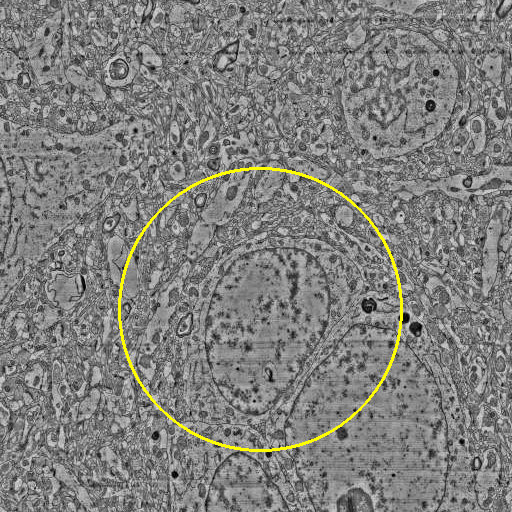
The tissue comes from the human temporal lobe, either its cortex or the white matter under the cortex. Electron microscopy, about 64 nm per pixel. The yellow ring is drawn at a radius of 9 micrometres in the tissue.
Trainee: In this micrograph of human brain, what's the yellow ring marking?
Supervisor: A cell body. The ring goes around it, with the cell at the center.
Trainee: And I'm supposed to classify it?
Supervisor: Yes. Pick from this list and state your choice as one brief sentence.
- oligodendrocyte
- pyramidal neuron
The cell at the ring's center is a pyramidal neuron.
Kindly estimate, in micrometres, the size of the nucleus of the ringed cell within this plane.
Roughly 11 by 7 micrometres is the size of the nucleus in this plane.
